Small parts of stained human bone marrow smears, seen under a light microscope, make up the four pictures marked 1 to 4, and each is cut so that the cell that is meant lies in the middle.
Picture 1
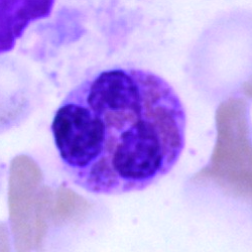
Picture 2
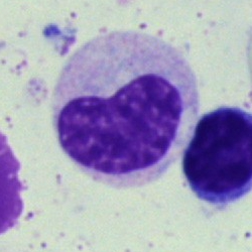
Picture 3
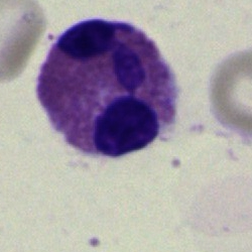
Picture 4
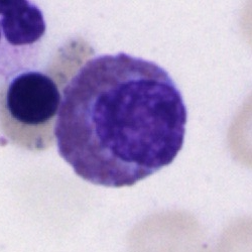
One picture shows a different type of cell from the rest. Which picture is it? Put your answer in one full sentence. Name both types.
The others show eosinophils, but picture 2 shows a metamyelocyte.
